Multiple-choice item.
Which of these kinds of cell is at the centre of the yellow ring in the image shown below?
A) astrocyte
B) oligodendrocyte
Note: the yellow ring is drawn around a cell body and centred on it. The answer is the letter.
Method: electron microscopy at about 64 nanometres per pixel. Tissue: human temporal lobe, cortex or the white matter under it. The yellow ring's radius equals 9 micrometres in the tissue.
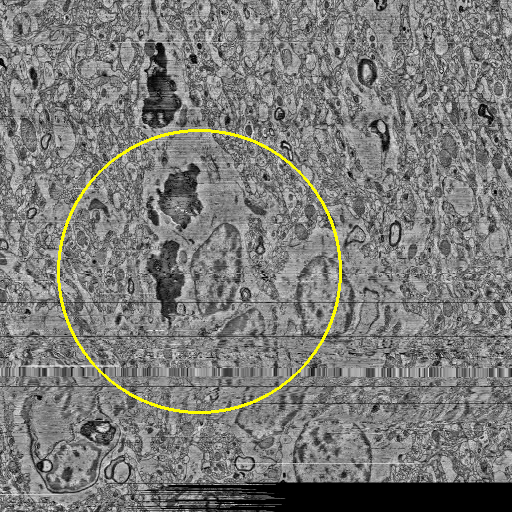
A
